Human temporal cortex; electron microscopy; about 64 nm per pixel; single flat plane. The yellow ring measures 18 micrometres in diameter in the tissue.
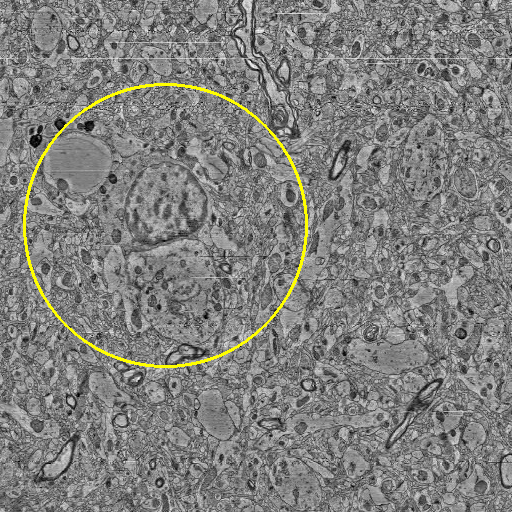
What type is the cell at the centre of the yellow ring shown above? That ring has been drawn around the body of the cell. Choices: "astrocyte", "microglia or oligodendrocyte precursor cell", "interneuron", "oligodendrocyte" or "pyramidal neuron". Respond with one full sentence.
My answer is that an oligodendrocyte lies at the centre of the yellow ring above.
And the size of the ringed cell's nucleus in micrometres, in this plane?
The nucleus comes to roughly 5 micrometres across in this plane.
